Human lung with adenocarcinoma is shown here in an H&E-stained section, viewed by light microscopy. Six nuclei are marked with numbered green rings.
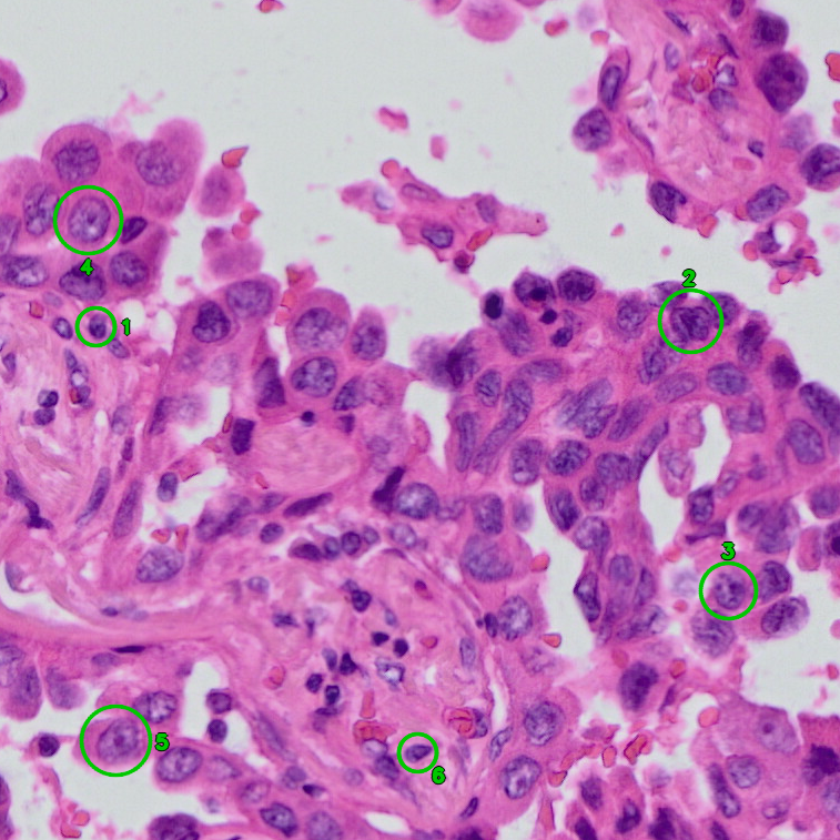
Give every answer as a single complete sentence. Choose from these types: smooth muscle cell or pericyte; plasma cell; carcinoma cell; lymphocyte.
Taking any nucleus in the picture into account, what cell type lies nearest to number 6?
The cell nearest to number 6 is a plasma cell.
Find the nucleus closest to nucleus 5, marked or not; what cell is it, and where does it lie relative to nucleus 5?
The nearest nucleus is that of a carcinoma cell and lies above and to the right of nucleus 5.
